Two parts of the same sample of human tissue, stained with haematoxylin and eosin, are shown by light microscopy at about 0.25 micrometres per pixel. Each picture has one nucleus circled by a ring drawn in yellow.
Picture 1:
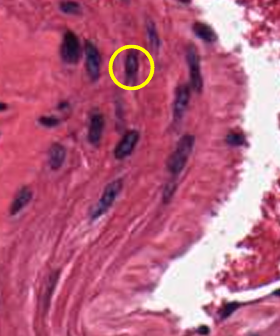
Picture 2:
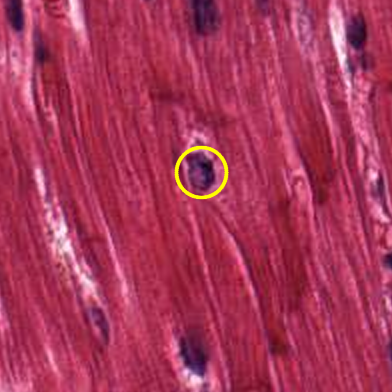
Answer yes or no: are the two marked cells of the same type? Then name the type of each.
No, the first is a smooth muscle cell and the second a cardiomyocyte.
